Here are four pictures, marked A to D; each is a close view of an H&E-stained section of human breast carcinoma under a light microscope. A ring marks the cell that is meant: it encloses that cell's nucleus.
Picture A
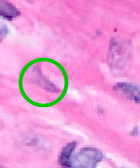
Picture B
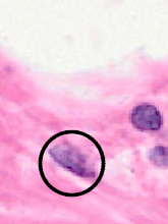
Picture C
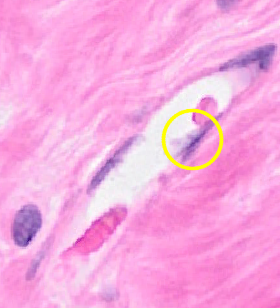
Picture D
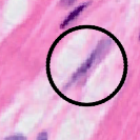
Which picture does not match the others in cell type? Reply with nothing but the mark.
C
